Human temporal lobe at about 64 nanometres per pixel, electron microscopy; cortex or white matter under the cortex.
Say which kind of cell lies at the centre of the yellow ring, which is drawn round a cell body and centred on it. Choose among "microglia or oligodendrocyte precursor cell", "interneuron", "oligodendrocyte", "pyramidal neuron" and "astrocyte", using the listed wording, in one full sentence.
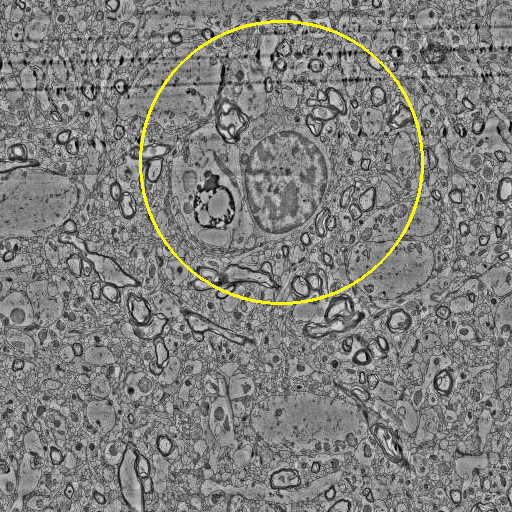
Going by the list, the cell at the yellow ring's centre is an oligodendrocyte.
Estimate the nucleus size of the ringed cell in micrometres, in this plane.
The nucleus of the ringed cell is approximately 7 by 5 micrometres in this plane.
